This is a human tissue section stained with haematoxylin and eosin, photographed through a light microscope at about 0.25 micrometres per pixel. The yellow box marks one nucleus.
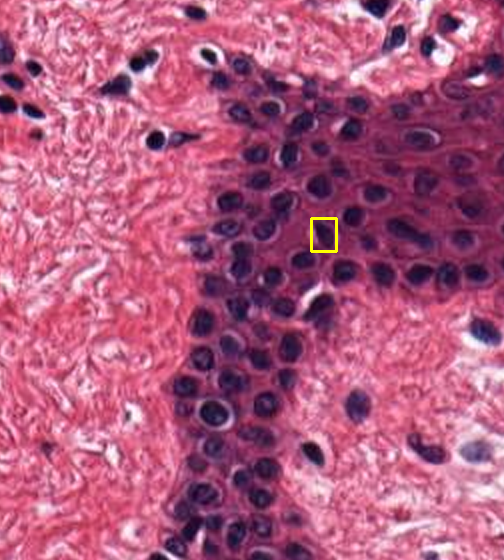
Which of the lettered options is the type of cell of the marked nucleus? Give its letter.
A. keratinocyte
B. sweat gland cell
A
